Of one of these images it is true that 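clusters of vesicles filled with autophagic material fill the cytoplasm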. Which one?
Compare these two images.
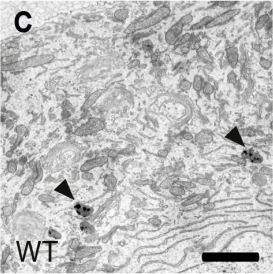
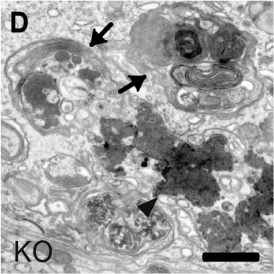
The second image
